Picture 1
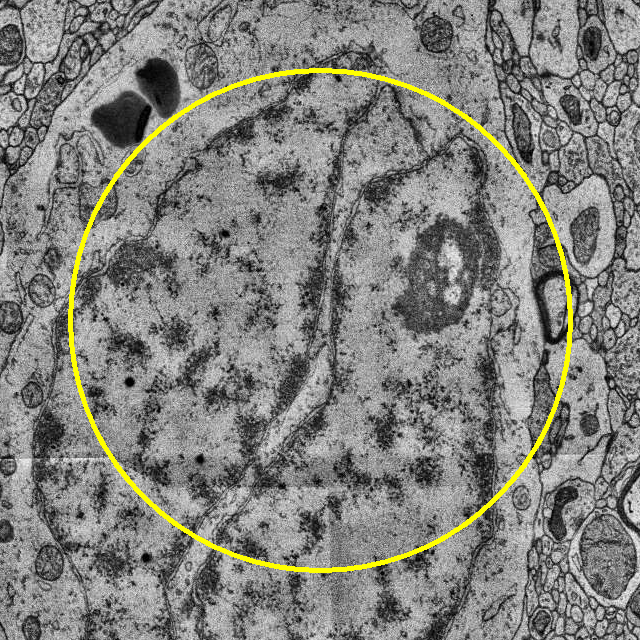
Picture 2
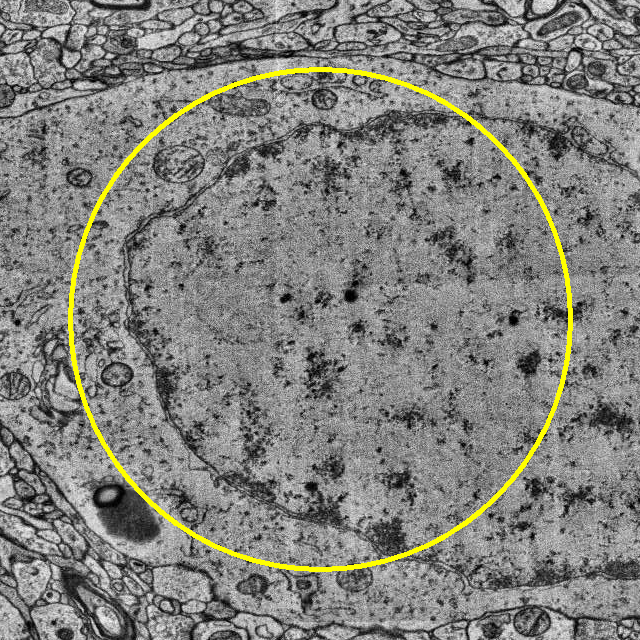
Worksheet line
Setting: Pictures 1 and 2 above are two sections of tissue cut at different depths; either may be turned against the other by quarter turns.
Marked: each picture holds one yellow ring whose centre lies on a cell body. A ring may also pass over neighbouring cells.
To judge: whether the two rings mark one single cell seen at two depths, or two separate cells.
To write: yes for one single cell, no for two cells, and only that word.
yes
